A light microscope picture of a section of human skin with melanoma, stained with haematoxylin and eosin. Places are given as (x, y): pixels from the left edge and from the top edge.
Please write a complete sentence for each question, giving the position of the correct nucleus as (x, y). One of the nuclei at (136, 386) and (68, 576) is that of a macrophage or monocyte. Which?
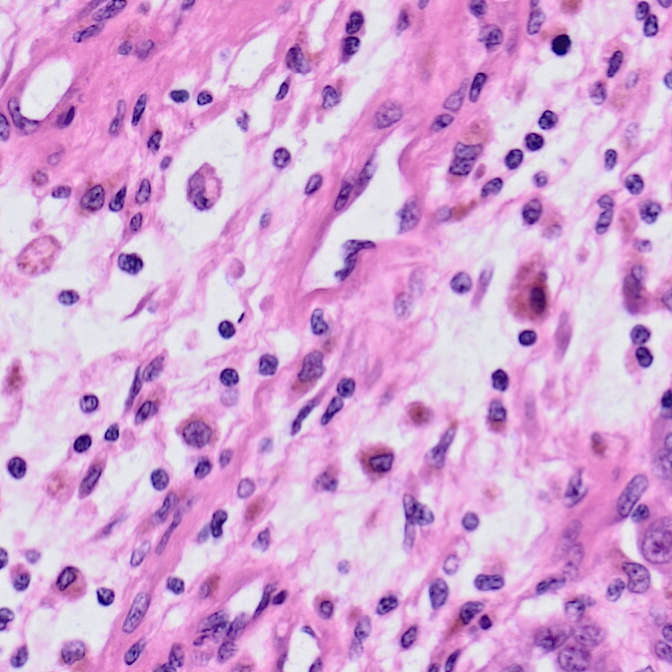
The nucleus at (68, 576) is part of a macrophage or monocyte, while the other is not.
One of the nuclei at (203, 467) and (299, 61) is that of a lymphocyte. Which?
Of these two nuclei, it is the one at (203, 467) that belongs to a lymphocyte.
